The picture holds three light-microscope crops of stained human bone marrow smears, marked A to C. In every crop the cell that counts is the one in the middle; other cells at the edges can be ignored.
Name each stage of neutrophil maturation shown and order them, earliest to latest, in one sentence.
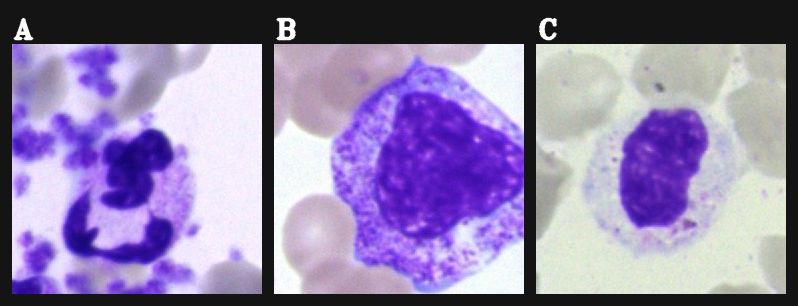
By increasing maturity, the order is crop B (a myelocyte), crop C (a metamyelocyte) and crop A (a segmented neutrophil).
